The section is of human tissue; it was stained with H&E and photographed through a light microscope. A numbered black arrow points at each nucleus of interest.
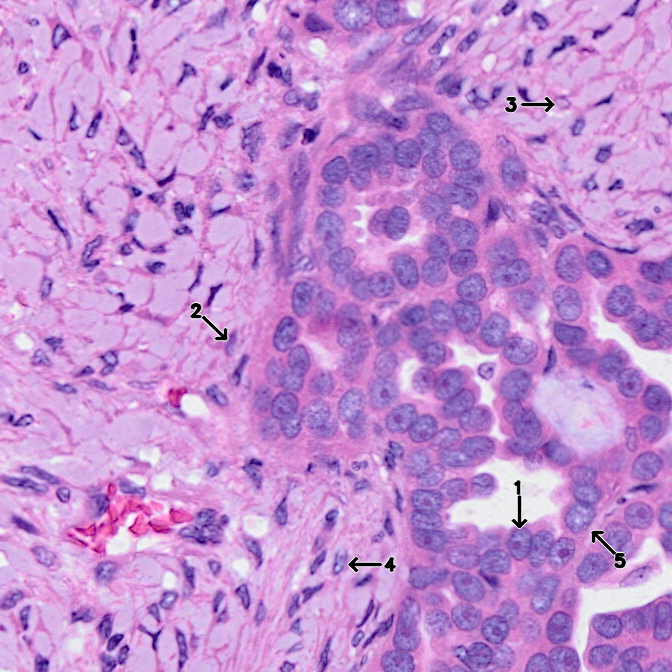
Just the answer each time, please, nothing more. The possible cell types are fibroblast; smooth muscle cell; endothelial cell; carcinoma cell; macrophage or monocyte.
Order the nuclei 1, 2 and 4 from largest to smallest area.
1, 4, 2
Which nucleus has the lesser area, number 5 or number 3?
3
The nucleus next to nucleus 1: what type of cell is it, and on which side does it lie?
a carcinoma cell, to the right of nucleus 1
